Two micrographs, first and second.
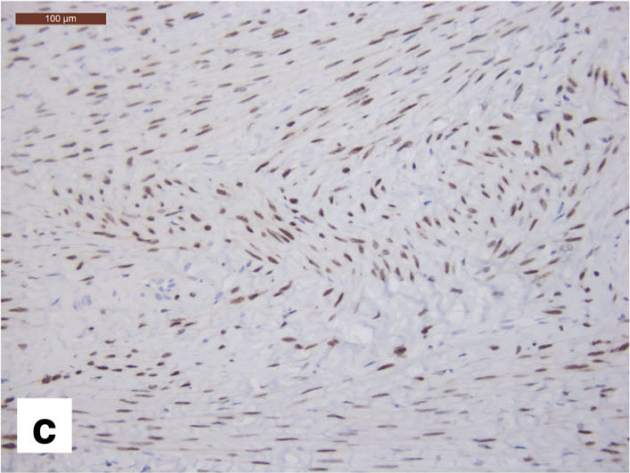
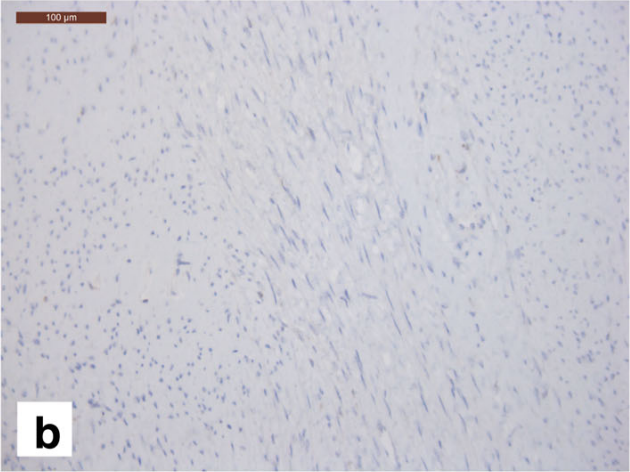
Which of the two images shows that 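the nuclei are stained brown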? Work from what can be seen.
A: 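First image: most elongated nuclei are dark brown. Second image: nuclei are only pale blue, with no brown anywhere. So: the first image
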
